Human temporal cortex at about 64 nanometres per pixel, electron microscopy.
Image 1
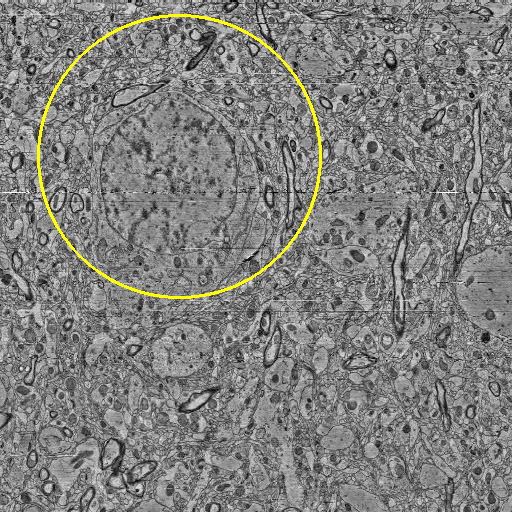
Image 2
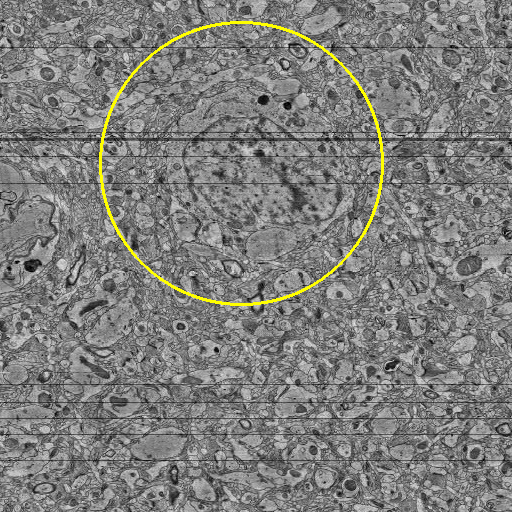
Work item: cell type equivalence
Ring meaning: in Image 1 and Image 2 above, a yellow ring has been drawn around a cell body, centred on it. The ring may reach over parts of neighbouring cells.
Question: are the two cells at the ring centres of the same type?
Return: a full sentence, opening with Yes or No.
Yes, the two centred cells are of the same type.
